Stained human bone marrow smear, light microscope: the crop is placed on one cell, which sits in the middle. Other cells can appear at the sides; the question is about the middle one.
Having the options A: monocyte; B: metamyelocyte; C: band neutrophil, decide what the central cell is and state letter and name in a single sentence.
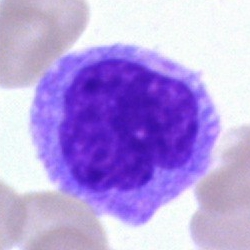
The cell centred in the crop is a monocyte, and the correct option is thus A.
